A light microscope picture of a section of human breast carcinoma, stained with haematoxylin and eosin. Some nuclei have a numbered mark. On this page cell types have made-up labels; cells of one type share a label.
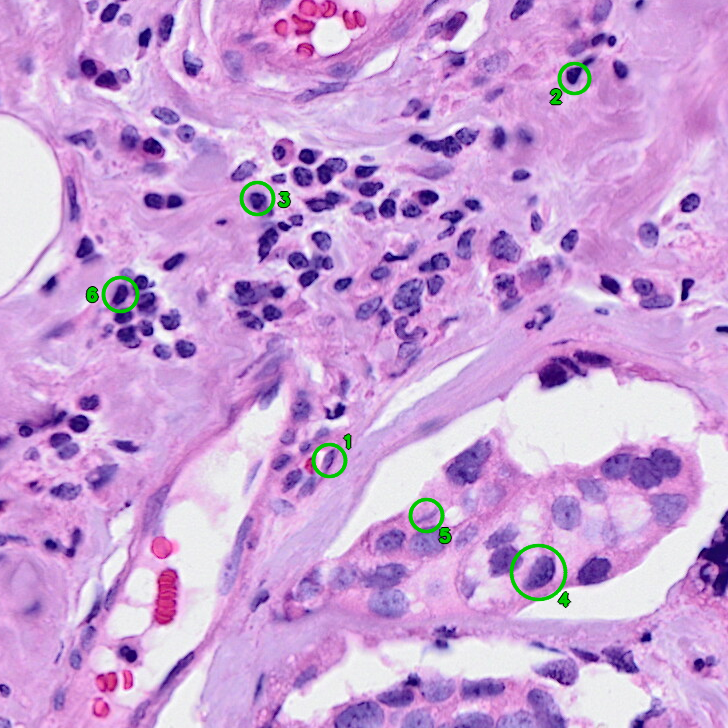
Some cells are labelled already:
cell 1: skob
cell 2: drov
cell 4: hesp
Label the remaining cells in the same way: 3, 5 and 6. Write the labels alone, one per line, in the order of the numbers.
drov
hesp
drov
